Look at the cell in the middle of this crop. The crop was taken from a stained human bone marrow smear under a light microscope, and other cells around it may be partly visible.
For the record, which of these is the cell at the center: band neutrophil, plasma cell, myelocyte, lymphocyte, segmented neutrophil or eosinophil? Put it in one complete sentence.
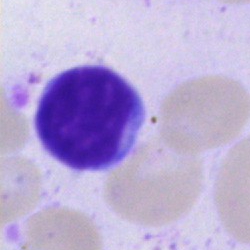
Within this crop, a lymphocyte occupies the central position.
